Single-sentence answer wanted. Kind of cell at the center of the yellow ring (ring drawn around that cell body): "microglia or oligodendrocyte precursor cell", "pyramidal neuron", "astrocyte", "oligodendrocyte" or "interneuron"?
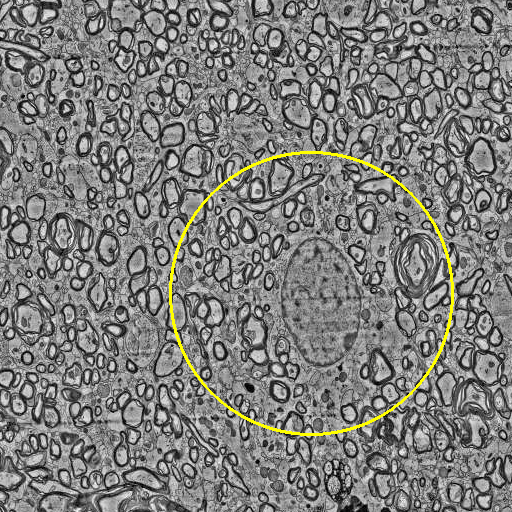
The cell centered in the ring is an astrocyte.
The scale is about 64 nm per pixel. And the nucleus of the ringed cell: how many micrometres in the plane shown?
The nucleus of the ringed cell is clearly longer than it is wide in this plane, about 8 by 5 micrometres.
